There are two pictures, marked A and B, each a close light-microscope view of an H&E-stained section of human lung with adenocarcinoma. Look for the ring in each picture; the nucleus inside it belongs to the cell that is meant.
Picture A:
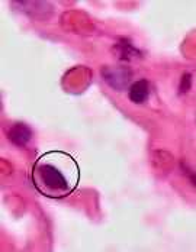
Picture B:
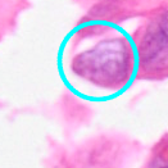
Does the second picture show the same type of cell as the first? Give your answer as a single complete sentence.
No; the cell in picture A is a type I pneumocyte, while the one in picture B is a carcinoma cell.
